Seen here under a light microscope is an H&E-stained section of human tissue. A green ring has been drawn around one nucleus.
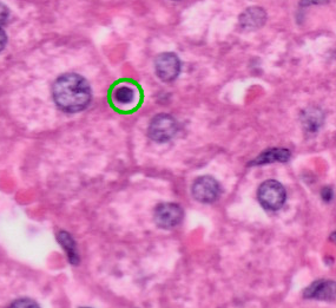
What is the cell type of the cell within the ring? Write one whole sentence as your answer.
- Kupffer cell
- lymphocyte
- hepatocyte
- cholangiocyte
Within this tissue, the cell within the ring is a lymphocyte.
